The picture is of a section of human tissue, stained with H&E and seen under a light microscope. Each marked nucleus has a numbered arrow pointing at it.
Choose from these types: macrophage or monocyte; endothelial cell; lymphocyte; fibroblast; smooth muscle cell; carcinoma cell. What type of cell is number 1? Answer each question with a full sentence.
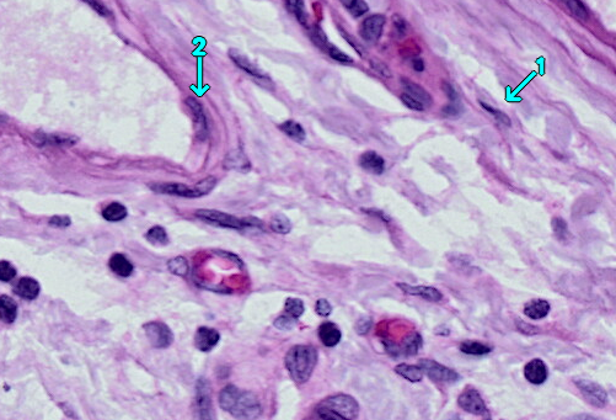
Cell 1, among those numbered, is a fibroblast.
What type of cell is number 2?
The cell marked with number 2 is an endothelial cell.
